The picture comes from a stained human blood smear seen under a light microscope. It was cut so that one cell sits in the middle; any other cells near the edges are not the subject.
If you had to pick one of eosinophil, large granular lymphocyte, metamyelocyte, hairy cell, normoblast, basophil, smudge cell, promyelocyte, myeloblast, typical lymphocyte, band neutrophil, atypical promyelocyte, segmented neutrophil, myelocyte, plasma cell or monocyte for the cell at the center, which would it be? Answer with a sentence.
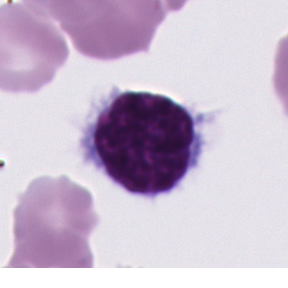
The middle cell in this particular crop is a hairy cell.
